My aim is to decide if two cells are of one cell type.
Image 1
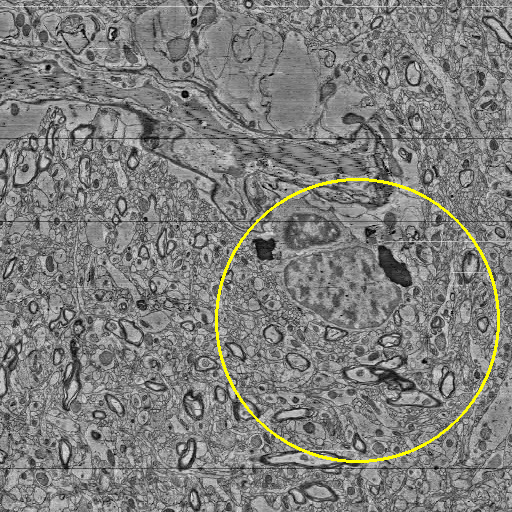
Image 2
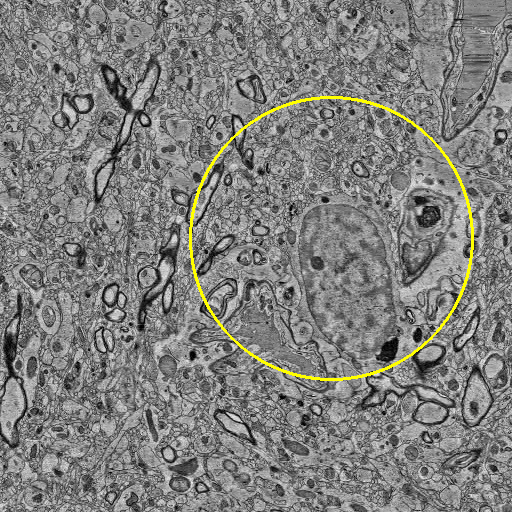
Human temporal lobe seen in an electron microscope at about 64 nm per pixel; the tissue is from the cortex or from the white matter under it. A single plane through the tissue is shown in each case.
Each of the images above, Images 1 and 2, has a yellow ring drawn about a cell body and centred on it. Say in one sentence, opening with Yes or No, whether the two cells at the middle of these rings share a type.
Yes, in Images 1 and 2 the cells at the middle of the rings share one type.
